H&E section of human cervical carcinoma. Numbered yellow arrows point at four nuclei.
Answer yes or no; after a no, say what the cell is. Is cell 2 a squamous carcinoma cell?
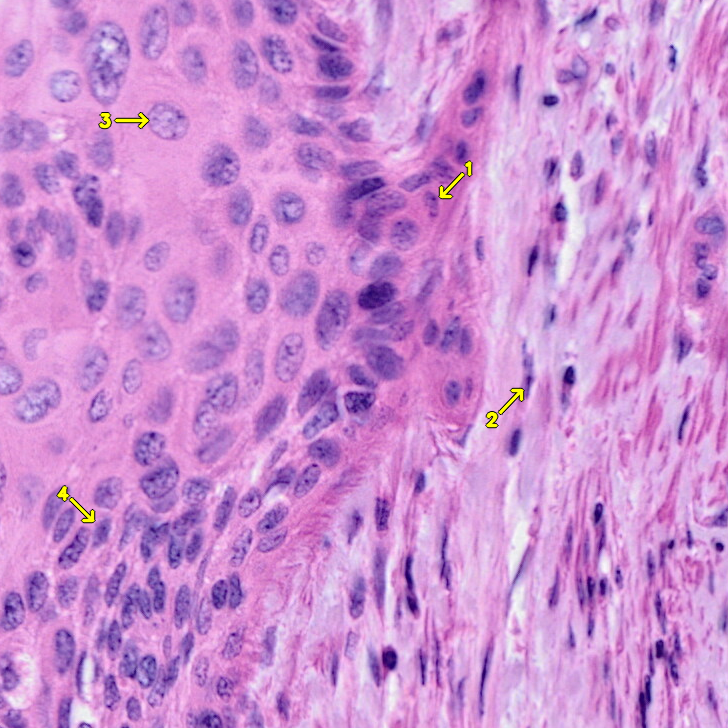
No, it is a fibroblast.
